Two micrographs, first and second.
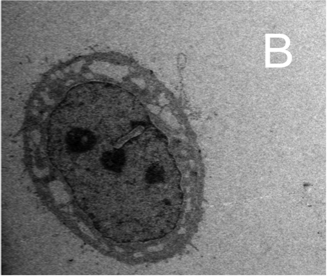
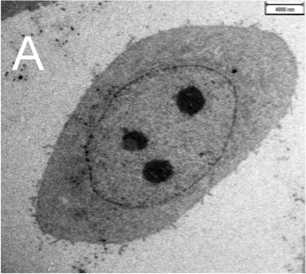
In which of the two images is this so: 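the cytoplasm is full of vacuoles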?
The first image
